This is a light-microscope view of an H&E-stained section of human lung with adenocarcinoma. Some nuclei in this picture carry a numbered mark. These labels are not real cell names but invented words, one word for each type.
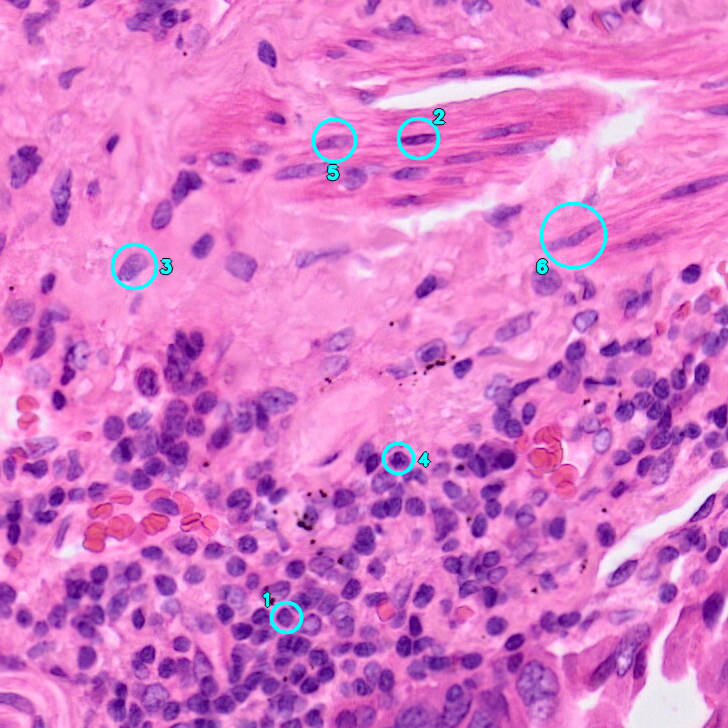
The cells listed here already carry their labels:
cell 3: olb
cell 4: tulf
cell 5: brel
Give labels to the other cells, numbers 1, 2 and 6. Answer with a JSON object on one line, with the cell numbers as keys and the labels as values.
{"1": "tulf", "2": "brel", "6": "brel"}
